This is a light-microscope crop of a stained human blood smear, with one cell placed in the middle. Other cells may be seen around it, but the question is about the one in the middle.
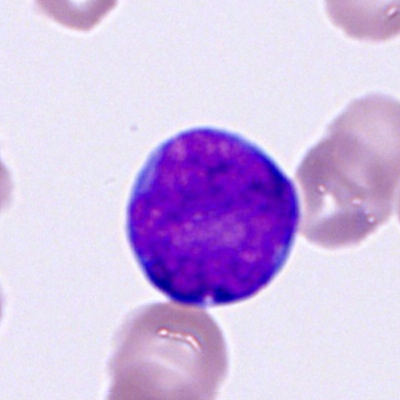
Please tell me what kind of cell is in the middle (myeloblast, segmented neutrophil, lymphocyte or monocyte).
myeloblast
